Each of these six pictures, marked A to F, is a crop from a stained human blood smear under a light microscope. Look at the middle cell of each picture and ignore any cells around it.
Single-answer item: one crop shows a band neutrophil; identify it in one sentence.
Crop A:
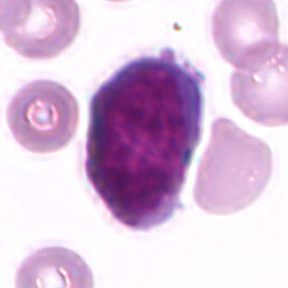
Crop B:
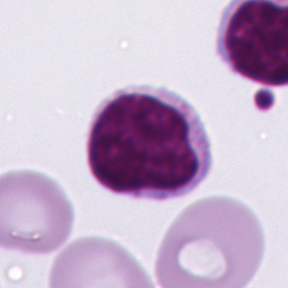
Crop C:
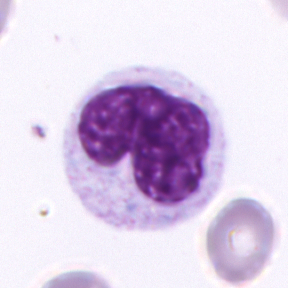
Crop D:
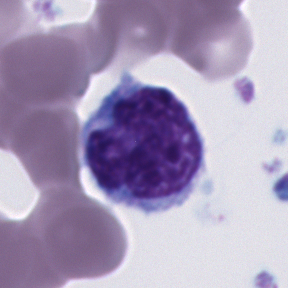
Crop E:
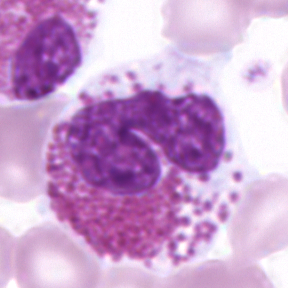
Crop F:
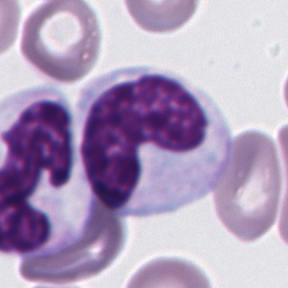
It is crop F, not any other, that shows a band neutrophil.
